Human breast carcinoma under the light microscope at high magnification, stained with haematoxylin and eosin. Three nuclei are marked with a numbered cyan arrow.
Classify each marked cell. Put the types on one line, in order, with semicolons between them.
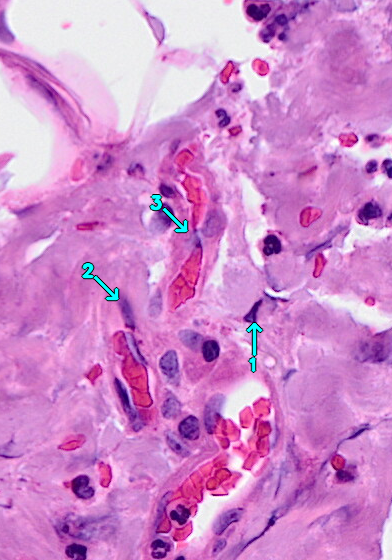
fibroblast; endothelial cell; endothelial cell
